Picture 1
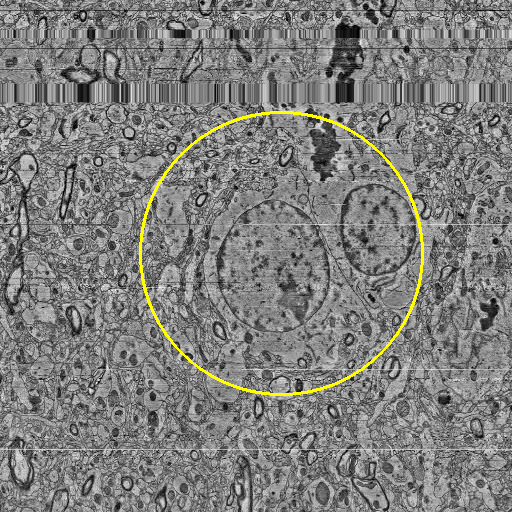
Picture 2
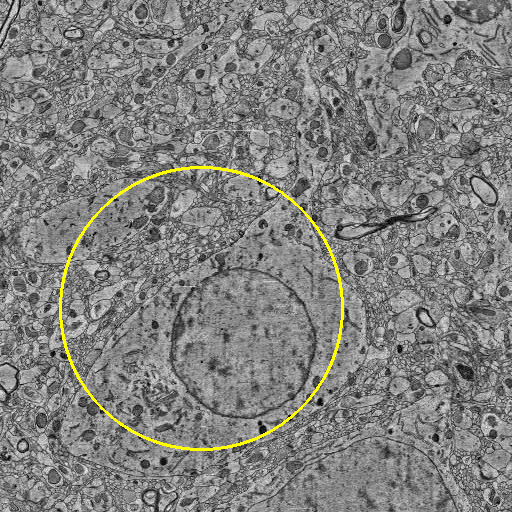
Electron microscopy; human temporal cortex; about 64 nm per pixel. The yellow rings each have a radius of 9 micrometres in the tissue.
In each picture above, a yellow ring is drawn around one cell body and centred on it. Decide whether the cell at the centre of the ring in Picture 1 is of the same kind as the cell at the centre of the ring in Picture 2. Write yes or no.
no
